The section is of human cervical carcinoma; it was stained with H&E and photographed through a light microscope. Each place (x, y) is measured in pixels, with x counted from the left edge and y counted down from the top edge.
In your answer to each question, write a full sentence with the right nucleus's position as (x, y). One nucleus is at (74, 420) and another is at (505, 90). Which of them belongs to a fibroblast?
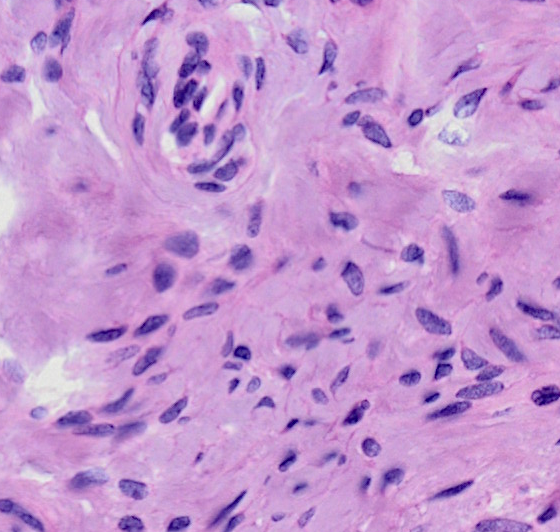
The nucleus that belongs to a fibroblast is located at (74, 420).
